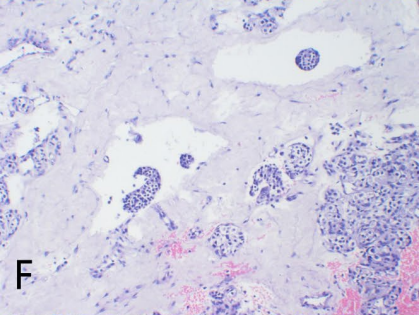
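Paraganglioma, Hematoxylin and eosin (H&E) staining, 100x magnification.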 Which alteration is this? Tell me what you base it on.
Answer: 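Intravascular tumor thrombus. Rounded clusters of tumor cells lie free within open vessel lumens. Vessels are set in pale hyalinized stroma.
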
